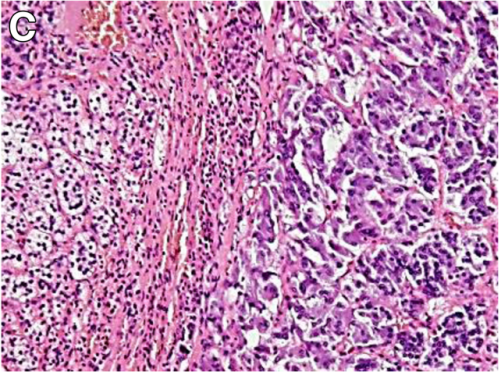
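Section of an adrenal gland tumor stained pink and purple. The right half is made of large polygonal cells with abundant granular purple to violet cytoplasm, arranged in nests and trabeculae separated by thin vascular septa; their nuclei are round to oval and vary somewhat in size. A band of pink fibrous stroma with elongated nuclei and a small vessel containing red blood cells runs down the middle. To the left lie smaller cells with pale, clear cytoplasm and small round dark nuclei arranged in cords, looking distinctly different from the cells on the right.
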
